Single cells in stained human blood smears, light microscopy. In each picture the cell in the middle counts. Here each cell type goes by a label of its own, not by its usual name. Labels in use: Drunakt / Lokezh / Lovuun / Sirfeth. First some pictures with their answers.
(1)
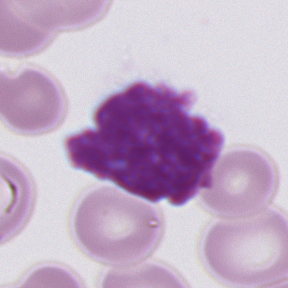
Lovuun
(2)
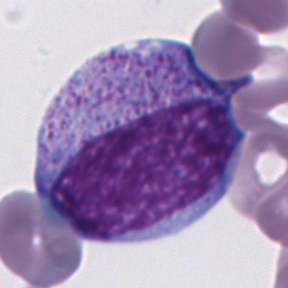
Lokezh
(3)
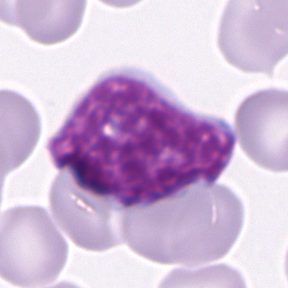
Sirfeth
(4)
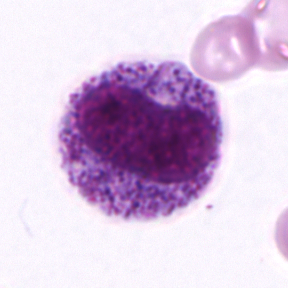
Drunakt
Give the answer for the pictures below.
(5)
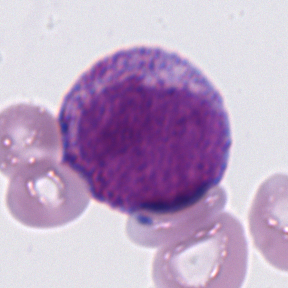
Lokezh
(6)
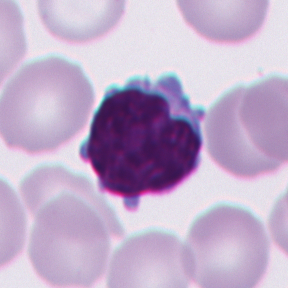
Sirfeth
